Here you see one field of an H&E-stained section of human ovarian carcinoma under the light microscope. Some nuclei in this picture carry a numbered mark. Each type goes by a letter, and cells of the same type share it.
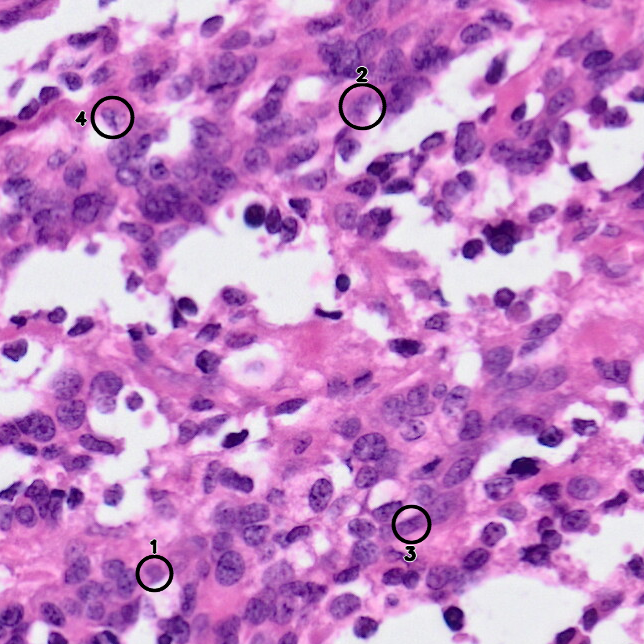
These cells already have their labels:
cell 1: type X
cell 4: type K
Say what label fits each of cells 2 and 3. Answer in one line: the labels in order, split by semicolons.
type X; type X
